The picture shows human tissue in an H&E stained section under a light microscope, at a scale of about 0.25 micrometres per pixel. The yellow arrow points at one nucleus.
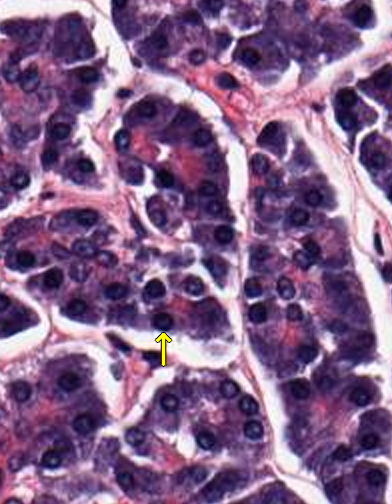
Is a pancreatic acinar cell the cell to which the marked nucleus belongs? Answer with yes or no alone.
yes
